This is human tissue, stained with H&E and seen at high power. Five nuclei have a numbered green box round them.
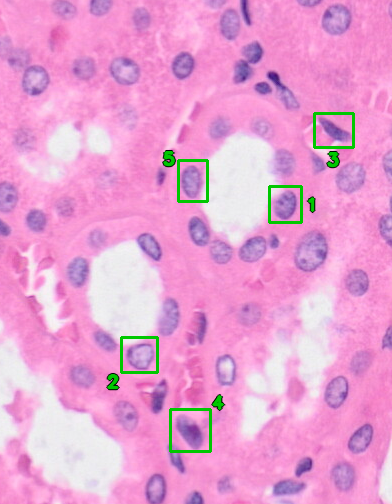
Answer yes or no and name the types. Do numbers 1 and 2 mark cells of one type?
Yes, both are loop of Henle or distal tubule cells.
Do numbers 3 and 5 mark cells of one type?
No, cell 3 is an endothelial cell and cell 5 is a loop of Henle or distal tubule cell.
